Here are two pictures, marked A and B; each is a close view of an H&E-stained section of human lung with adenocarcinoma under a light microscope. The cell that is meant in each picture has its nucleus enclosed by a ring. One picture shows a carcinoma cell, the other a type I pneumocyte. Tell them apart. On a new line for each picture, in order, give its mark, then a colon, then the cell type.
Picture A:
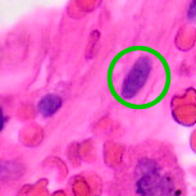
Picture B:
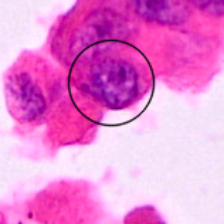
A: type I pneumocyte
B: carcinoma cell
